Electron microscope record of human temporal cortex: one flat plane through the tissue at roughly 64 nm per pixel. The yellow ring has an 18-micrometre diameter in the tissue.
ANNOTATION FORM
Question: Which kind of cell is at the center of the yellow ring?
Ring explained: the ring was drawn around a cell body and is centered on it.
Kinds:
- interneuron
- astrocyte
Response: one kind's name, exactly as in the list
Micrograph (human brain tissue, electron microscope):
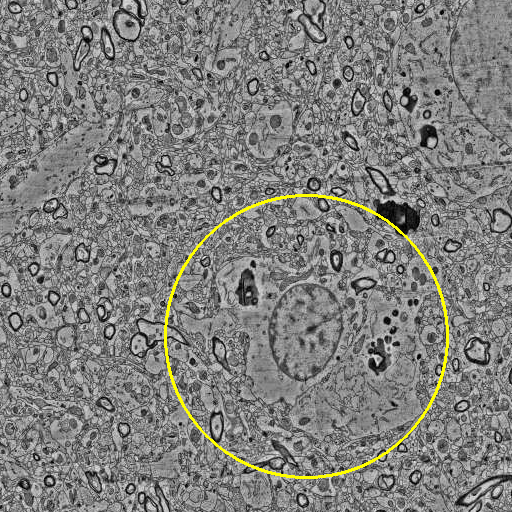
astrocyte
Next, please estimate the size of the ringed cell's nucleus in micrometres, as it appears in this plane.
In this plane the nucleus measures roughly 6 by 5 micrometres.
